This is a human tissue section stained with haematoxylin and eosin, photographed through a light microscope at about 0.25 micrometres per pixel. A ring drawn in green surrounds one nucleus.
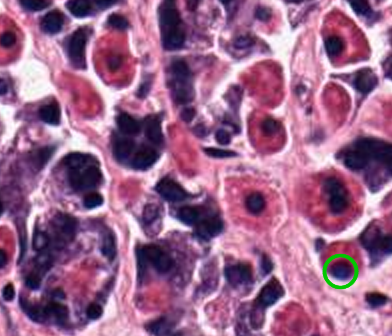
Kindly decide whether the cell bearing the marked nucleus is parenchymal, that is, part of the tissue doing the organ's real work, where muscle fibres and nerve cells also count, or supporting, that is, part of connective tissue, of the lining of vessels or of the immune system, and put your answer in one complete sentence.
A parenchymal cell holds the marked nucleus, and that cell is a parietal cell.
